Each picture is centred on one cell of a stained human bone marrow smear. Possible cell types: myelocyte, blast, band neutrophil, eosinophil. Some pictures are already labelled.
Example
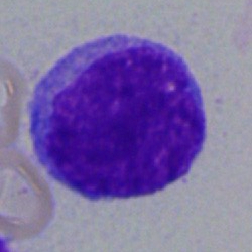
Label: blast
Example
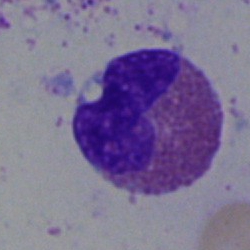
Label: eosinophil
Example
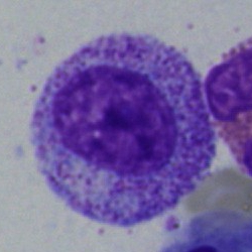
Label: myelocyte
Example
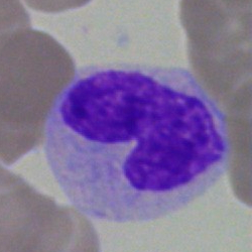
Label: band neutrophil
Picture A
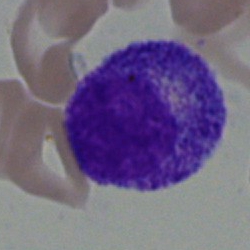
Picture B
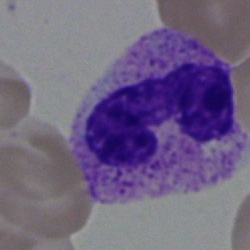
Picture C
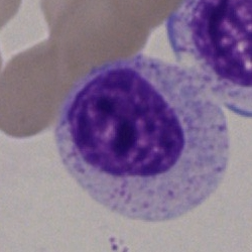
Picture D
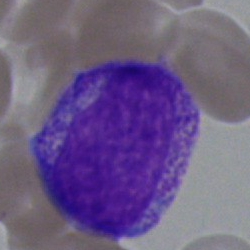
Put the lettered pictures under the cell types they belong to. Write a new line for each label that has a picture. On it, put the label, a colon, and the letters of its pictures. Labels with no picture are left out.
myelocyte: A, C, D
band neutrophil: B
